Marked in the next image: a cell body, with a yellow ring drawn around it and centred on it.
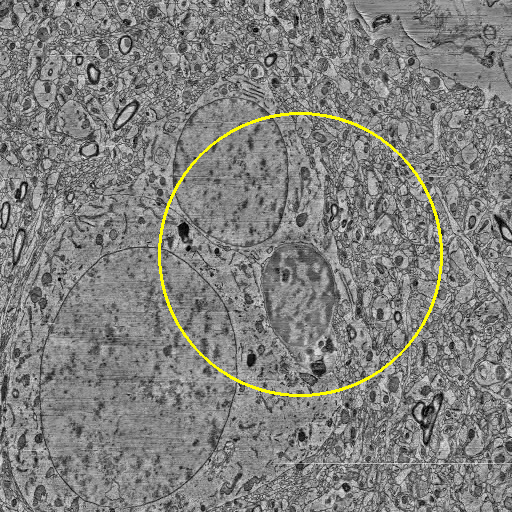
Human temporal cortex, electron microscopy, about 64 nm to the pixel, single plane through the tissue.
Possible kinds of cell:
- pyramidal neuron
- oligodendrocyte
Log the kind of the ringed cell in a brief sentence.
The ringed cell body is that of an oligodendrocyte.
